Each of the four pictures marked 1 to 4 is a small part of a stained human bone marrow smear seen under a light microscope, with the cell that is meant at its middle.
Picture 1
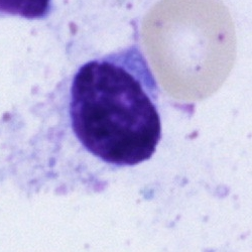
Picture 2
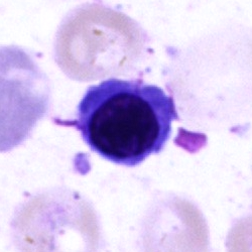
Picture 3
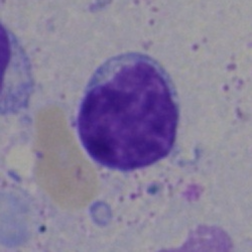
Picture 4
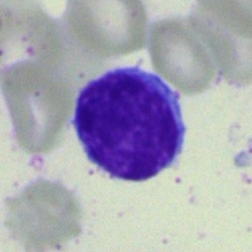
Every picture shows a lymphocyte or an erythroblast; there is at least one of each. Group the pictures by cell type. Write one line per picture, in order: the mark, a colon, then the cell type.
1: lymphocyte
2: erythroblast
3: lymphocyte
4: lymphocyte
